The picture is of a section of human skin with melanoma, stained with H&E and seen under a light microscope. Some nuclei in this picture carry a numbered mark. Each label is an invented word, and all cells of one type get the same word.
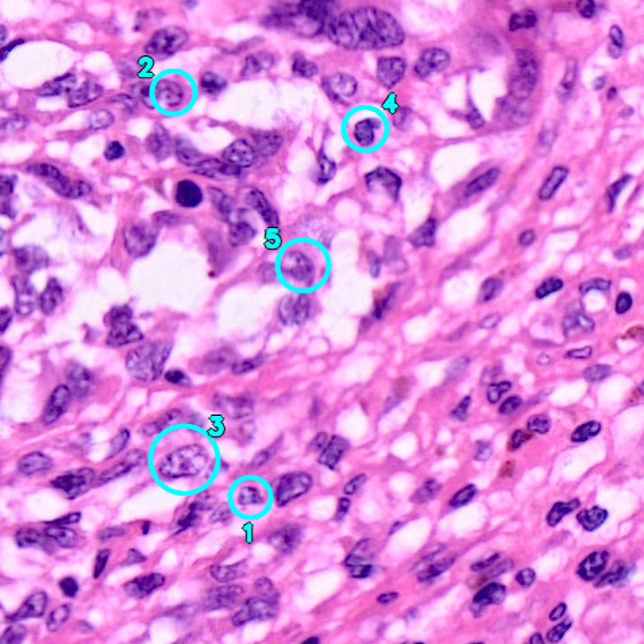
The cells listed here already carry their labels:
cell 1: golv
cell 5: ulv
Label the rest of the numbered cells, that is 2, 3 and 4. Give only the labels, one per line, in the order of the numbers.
ulv
ulv
golv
